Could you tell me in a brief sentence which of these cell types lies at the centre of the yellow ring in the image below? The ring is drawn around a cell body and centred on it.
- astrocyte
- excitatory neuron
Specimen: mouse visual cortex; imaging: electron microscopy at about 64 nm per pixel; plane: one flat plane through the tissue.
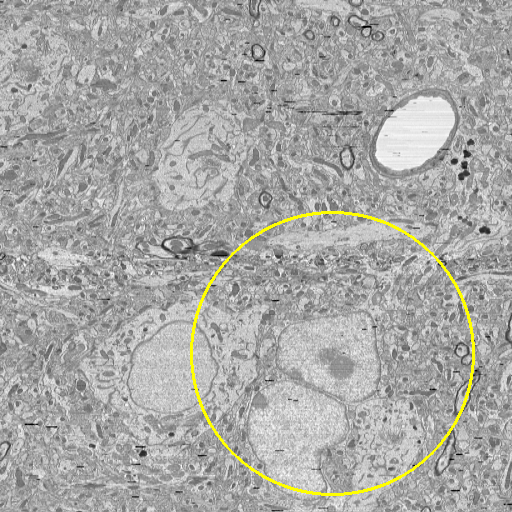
The cell centred in the ring is an astrocyte.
